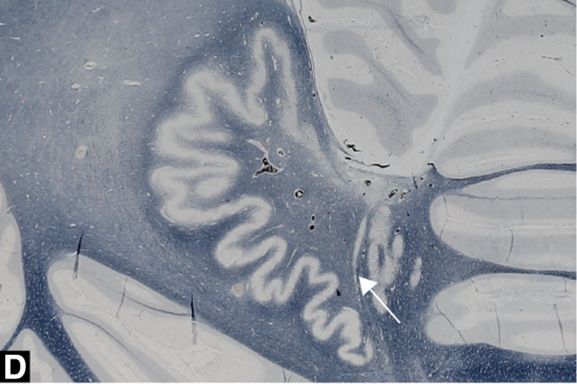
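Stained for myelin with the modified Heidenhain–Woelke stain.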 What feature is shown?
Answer: Dentate nucleus.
